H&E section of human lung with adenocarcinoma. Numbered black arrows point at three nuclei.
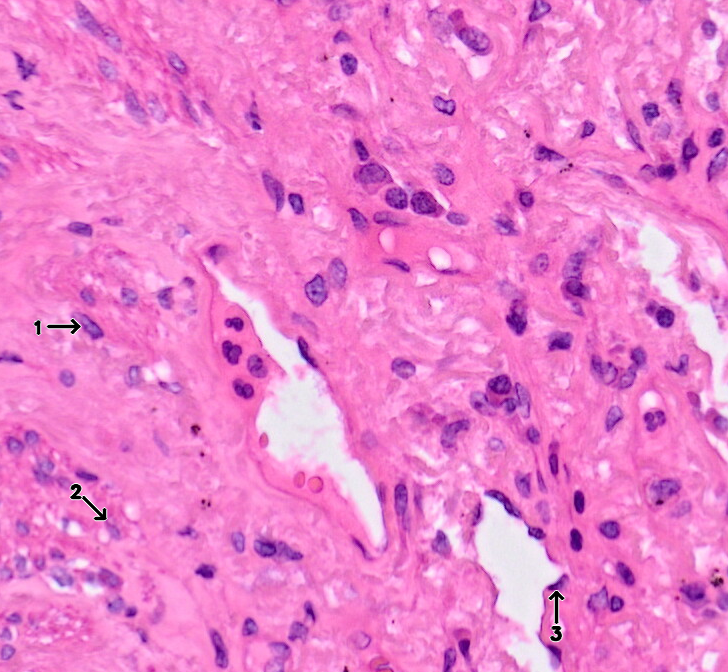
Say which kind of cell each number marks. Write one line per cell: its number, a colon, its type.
1: smooth muscle cell or pericyte
2: smooth muscle cell or pericyte
3: endothelial cell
